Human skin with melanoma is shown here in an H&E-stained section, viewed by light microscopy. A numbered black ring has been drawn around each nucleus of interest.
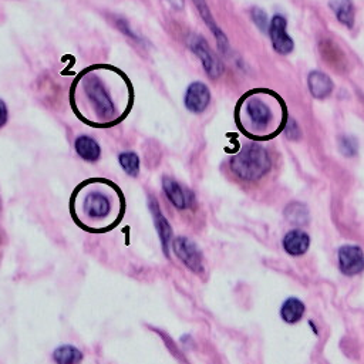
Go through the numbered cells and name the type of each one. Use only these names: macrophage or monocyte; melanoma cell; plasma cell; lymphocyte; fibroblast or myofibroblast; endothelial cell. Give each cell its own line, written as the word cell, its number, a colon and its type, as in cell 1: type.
cell 1: lymphocyte
cell 2: macrophage or monocyte
cell 3: lymphocyte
